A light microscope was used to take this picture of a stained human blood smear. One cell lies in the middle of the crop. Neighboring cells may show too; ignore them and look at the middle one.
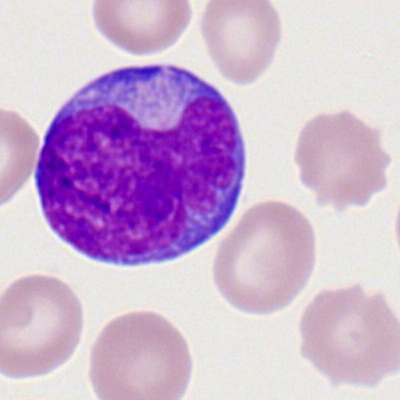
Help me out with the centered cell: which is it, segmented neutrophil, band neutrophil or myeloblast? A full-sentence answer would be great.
In the center of this field lies a myeloblast.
